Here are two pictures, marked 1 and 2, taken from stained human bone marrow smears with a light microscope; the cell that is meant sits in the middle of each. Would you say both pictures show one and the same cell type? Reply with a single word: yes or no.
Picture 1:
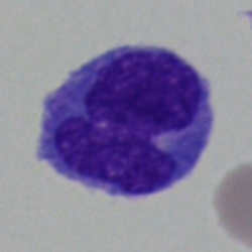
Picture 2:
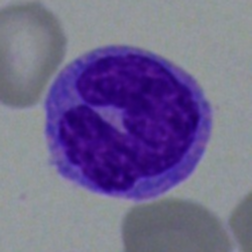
yes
